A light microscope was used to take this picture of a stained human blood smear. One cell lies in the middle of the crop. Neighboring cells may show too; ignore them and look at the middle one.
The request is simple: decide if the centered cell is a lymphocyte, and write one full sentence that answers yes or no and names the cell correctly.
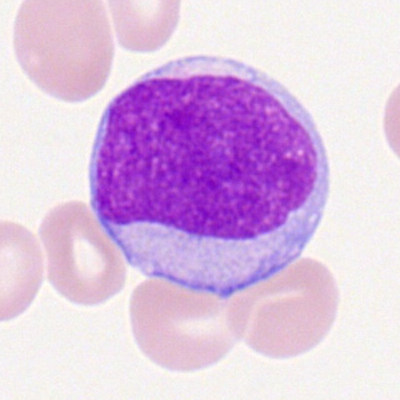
No, the cell in the centre is to be called a blast instead of a lymphocyte.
